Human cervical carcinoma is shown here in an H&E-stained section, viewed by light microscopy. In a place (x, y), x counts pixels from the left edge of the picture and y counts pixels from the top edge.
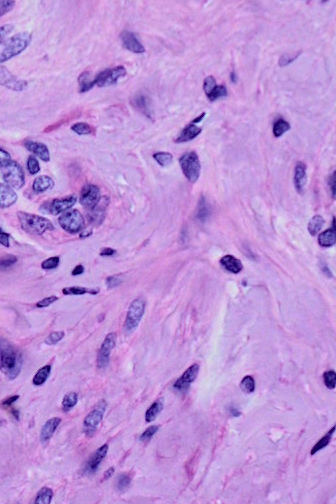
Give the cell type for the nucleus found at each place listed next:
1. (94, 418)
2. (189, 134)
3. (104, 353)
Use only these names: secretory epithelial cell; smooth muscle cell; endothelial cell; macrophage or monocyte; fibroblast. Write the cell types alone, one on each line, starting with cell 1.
smooth muscle cell
fibroblast
smooth muscle cell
